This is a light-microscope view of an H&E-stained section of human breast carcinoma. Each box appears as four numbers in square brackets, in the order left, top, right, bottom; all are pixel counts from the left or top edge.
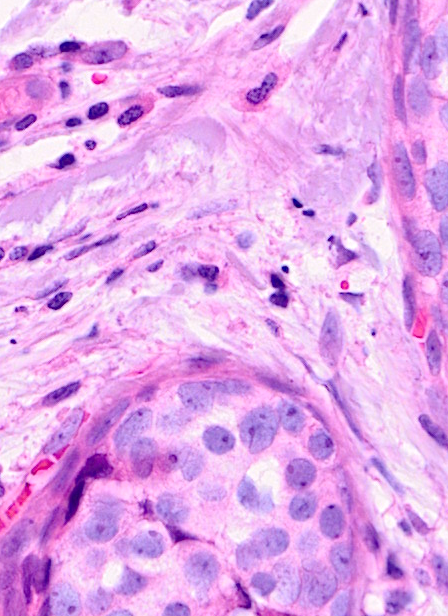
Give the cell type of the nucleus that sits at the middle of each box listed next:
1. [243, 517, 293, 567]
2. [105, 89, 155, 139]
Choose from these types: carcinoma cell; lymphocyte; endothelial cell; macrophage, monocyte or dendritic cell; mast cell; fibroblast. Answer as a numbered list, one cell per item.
1. carcinoma cell
2. mast cell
